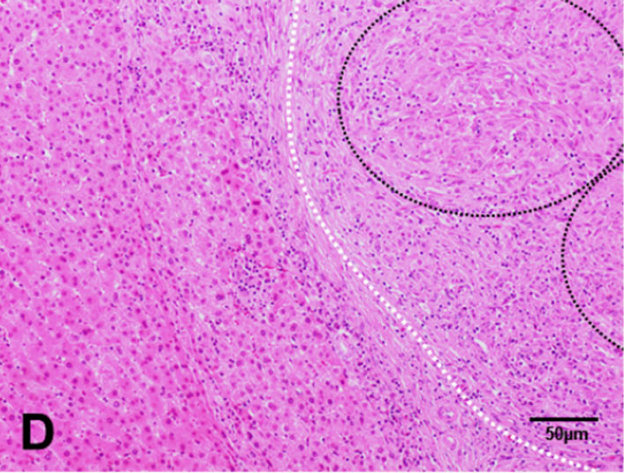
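In the liver, rounded granulomas made of epithelioid macrophages with abundant pale pink cytoplasm lie side by side and merge. A thin band of connective tissue with elongated spindle cells separates them from the neighbouring liver cells, and scattered small dark lymphocytes lie at their periphery.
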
